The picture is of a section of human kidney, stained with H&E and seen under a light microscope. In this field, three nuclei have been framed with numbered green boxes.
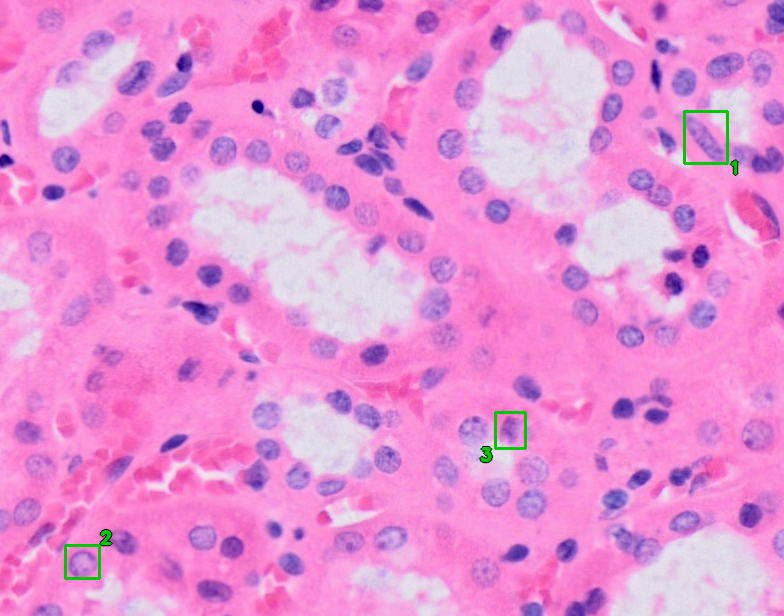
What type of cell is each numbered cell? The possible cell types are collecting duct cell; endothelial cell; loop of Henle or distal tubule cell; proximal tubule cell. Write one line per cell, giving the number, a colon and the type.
1: collecting duct cell
2: proximal tubule cell
3: loop of Henle or distal tubule cell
